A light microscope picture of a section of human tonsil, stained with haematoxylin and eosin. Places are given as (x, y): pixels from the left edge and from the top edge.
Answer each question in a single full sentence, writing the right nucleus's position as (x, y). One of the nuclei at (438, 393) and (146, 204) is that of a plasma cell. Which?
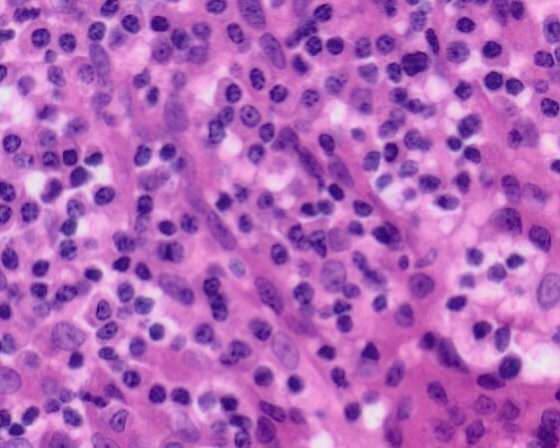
Between the pair, the nucleus at (146, 204) belongs to a plasma cell.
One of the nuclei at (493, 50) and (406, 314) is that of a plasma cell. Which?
Of the pair, the nucleus positioned at (493, 50) is that of a plasma cell.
